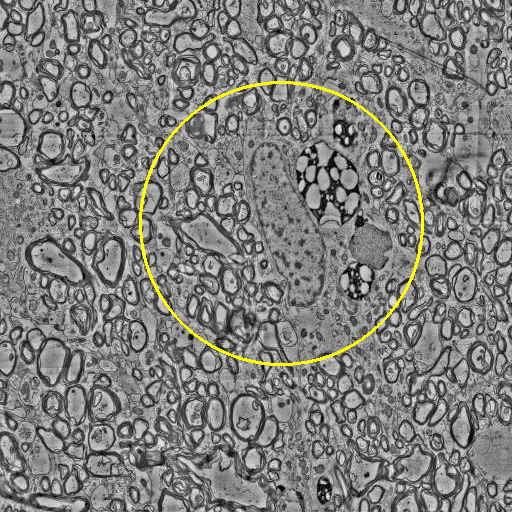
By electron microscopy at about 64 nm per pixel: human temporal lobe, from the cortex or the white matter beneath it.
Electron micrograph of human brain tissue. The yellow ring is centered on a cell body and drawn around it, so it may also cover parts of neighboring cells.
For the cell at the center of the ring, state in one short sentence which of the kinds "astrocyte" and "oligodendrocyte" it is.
This ring is centered on an astrocyte.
